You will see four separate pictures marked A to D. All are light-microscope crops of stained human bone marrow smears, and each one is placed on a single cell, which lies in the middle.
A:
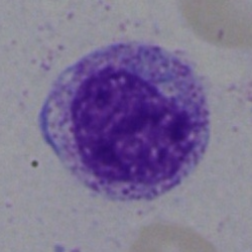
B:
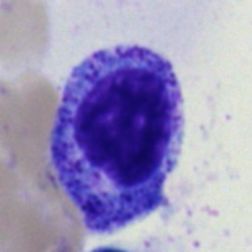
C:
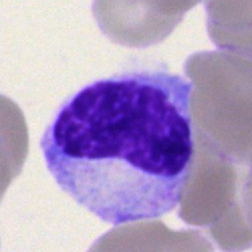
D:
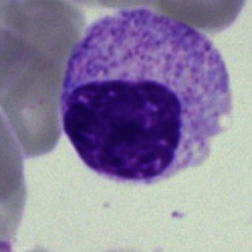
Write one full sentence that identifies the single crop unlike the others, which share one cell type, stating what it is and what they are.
The outlier here is crop C, which is a metamyelocyte, while the remainder show myelocytes.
